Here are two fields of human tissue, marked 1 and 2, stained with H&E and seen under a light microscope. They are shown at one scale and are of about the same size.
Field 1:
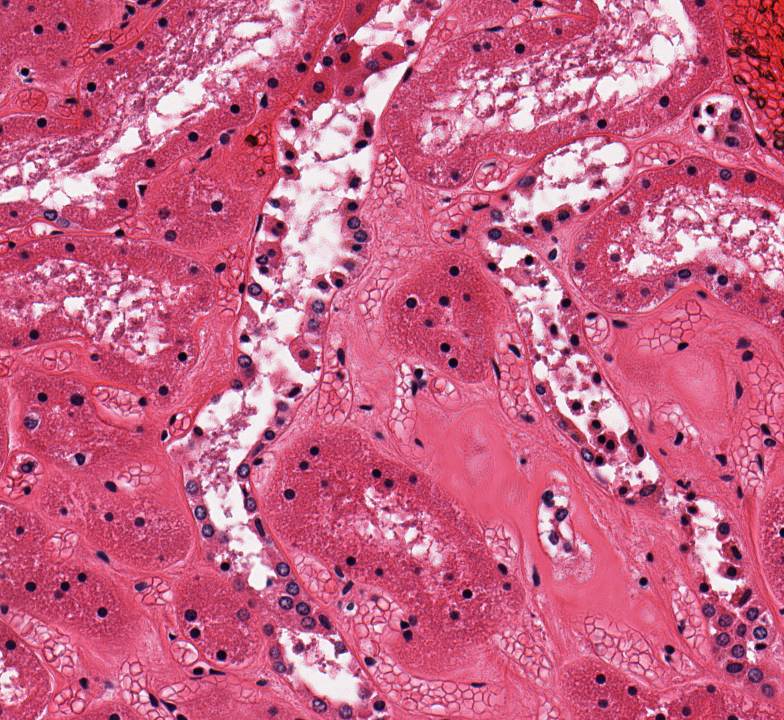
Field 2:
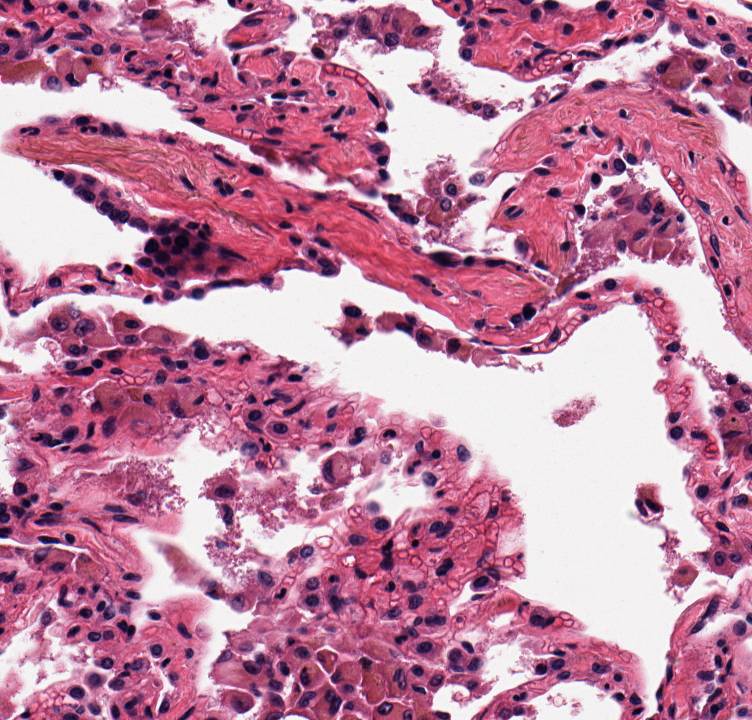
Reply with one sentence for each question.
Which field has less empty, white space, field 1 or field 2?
Less of field 1 is empty and white.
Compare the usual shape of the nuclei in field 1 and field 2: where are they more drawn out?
Longer, more slender nuclei lie in field 2.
